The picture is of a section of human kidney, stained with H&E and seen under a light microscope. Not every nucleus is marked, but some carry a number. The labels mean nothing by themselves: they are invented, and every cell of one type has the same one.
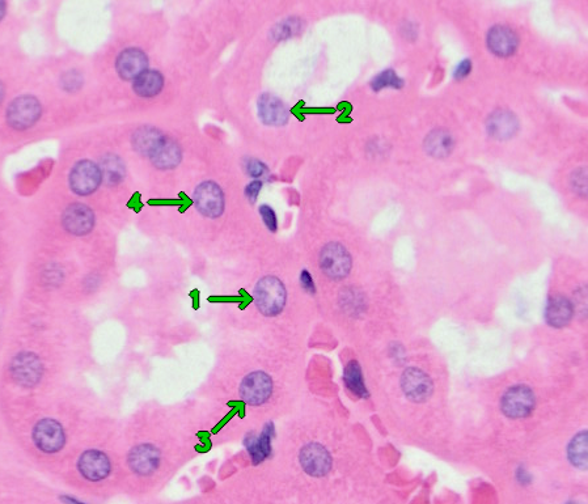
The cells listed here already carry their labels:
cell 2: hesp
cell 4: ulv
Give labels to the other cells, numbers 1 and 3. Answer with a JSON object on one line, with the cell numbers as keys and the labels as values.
{"1": "ulv", "3": "ulv"}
